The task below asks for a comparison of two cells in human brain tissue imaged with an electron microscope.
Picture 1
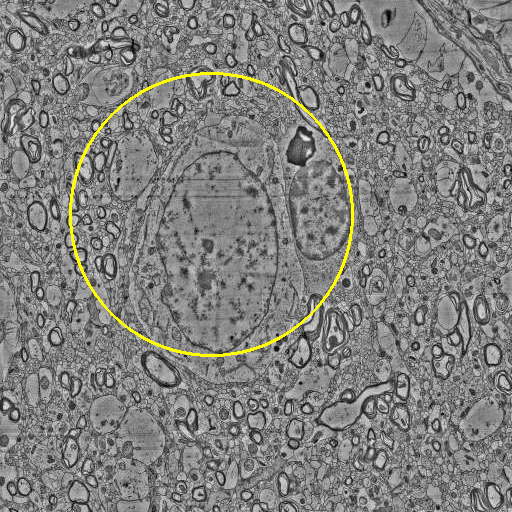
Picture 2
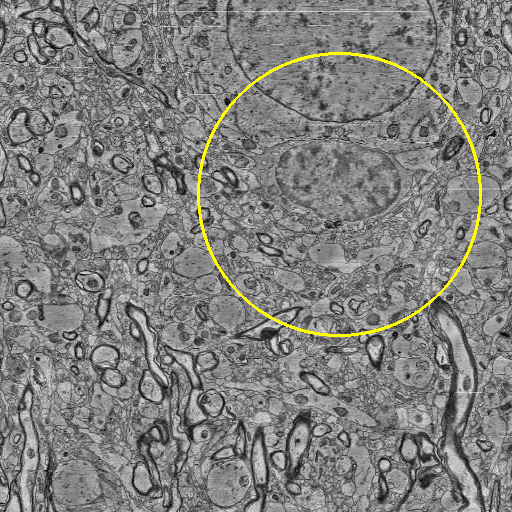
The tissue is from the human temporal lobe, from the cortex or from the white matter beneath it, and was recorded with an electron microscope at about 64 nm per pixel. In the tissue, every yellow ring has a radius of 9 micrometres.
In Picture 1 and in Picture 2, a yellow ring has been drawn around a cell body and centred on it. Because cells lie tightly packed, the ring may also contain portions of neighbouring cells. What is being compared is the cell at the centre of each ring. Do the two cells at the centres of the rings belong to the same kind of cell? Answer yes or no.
no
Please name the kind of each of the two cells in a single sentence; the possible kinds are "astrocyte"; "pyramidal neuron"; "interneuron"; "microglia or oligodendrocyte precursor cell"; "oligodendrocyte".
In the first picture the ring is centred on an interneuron, and in the second on an oligodendrocyte.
